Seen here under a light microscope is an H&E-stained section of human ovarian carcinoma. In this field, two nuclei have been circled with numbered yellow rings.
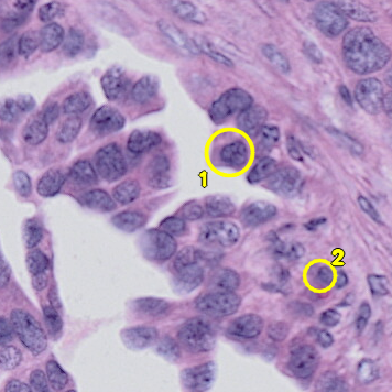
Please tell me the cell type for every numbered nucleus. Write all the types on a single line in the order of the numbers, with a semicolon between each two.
carcinoma cell; endothelial cell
